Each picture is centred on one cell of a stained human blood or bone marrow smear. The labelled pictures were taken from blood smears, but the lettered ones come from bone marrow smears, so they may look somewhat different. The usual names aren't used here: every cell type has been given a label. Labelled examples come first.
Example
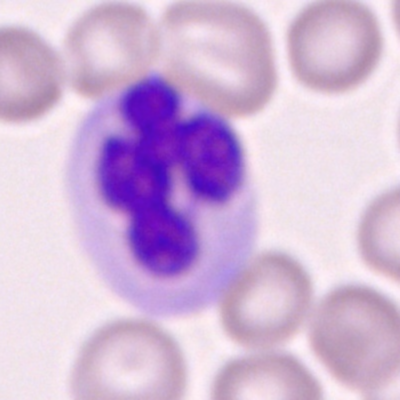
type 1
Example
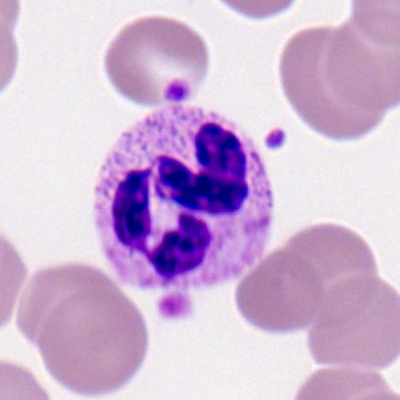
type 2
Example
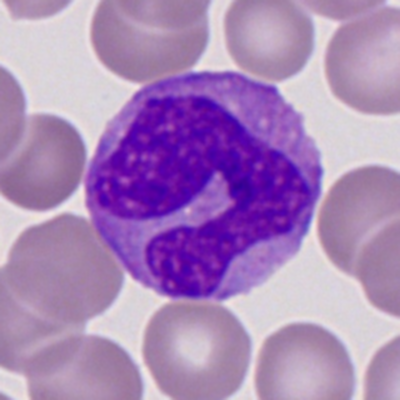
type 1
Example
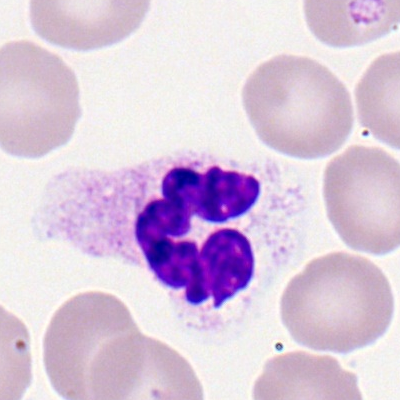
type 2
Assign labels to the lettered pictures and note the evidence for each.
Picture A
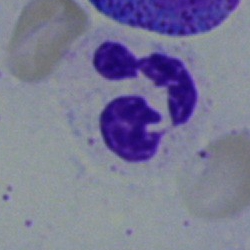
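Label: type 2. The cytoplasm is plentiful and very pale lilac-grey.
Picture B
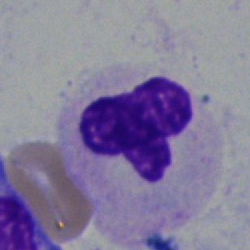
Label: type 2. The cytoplasm is plentiful and pale greyish-lilac, surrounding the nucleus on all sides.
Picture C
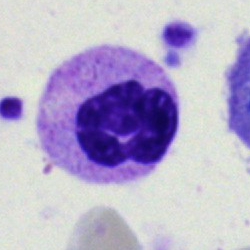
Label: type 2. The cytoplasm is abundant and pale pinkish-lilac.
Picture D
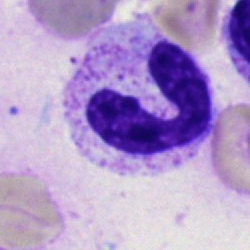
Label: type 2. The cytoplasm holds many small pink-violet granules.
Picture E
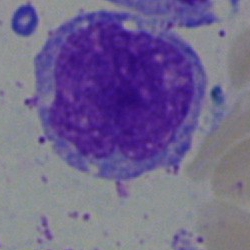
Label: type 1. The nucleus is large and fills most of the cell.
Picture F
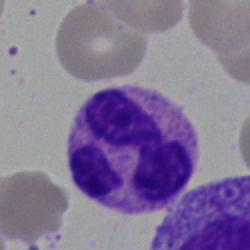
Label: type 2. The cytoplasm is plentiful and pale lilac-pink.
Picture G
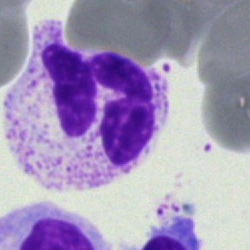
Label: type 2. The cytoplasm is plentiful and pale pinkish-lilac.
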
